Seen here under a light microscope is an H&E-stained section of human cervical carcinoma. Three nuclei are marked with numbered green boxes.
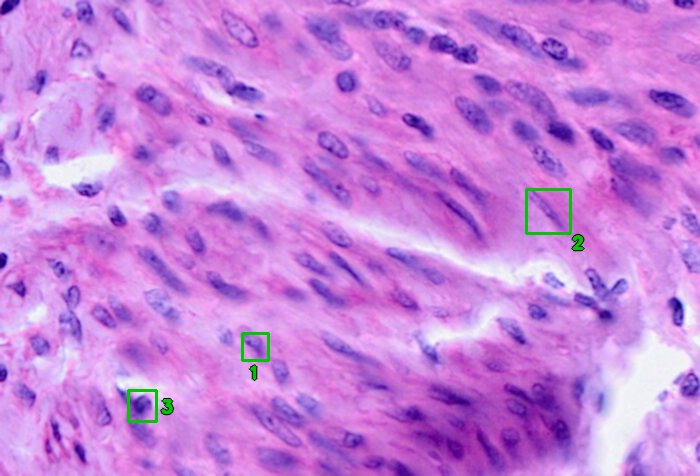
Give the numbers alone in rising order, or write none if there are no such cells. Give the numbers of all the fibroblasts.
none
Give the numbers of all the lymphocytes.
3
